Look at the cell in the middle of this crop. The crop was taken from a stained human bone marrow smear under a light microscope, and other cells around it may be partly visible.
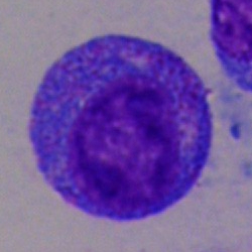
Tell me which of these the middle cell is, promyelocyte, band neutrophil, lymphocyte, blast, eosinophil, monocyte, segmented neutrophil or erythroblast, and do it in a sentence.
The central element of this crop is a cell, namely a promyelocyte.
